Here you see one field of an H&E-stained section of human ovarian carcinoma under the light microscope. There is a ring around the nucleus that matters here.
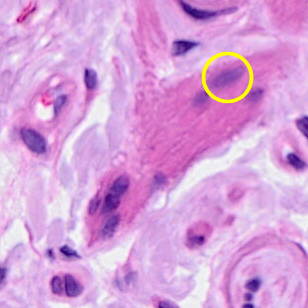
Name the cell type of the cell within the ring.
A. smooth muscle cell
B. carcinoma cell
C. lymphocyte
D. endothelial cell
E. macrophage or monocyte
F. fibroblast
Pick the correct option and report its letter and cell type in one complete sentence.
Since the cell within the ring is a smooth muscle cell, the right option is A.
